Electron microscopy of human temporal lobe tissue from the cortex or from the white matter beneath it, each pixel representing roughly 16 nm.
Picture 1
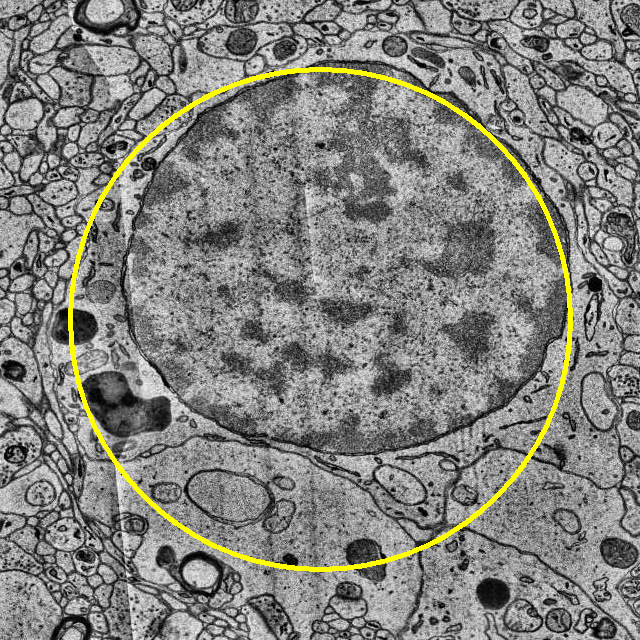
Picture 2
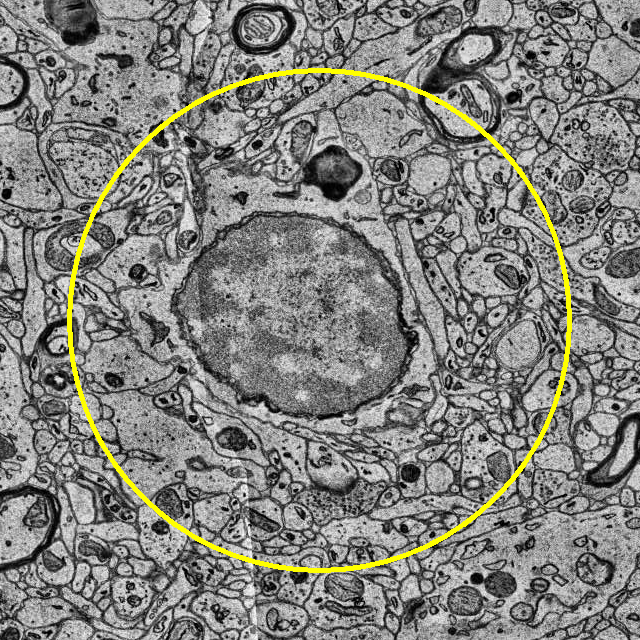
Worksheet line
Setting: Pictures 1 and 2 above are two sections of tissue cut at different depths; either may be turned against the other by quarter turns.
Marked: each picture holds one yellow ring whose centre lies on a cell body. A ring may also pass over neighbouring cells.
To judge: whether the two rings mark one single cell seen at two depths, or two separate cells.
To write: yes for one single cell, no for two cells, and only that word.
yes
